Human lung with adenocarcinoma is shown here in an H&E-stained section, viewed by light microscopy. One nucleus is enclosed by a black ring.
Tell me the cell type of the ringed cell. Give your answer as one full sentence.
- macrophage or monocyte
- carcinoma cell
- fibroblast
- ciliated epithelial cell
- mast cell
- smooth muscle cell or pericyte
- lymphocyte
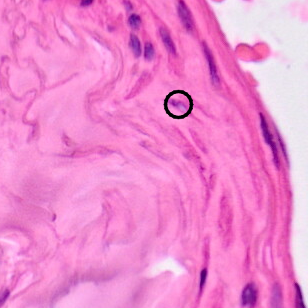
Recorded by type, the ringed cell is a smooth muscle cell or pericyte.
